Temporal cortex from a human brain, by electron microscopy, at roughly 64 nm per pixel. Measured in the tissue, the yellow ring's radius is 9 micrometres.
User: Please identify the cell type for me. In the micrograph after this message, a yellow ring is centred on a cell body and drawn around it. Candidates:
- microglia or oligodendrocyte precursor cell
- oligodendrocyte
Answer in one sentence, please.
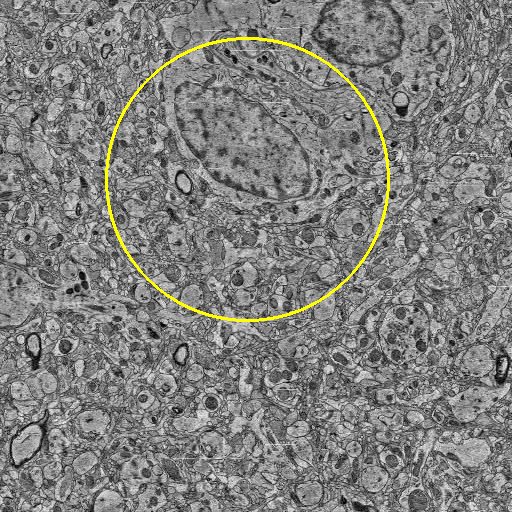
The ring is drawn around the cell body of a microglial cell or oligodendrocyte precursor cell.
